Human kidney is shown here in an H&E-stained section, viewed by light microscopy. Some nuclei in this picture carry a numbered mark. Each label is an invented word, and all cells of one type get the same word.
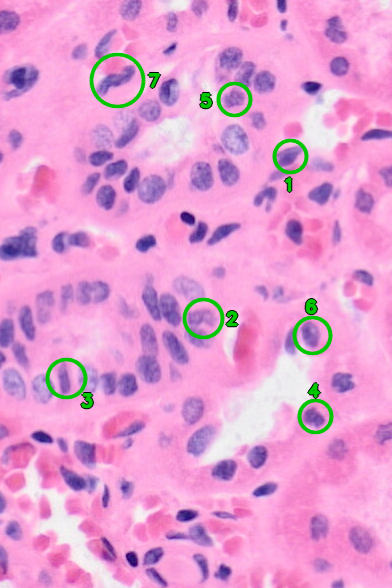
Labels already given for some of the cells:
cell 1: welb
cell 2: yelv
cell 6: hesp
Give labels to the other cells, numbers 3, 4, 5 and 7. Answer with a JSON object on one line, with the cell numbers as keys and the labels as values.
{"3": "yelv", "4": "hesp", "5": "yelv", "7": "welb"}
